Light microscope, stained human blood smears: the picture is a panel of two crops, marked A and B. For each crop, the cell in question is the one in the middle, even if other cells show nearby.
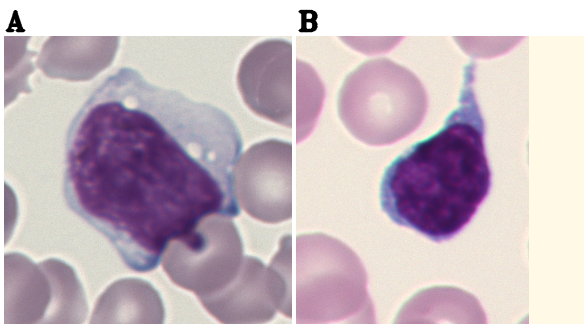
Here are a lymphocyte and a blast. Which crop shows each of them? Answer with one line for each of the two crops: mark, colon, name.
A: blast
B: lymphocyte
